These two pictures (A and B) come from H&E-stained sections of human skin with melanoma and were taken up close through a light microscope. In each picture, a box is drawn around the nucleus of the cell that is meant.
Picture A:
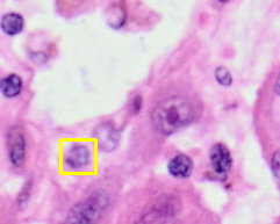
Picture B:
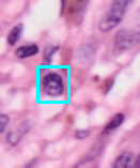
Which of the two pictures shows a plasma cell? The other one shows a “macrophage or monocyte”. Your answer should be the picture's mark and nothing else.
B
